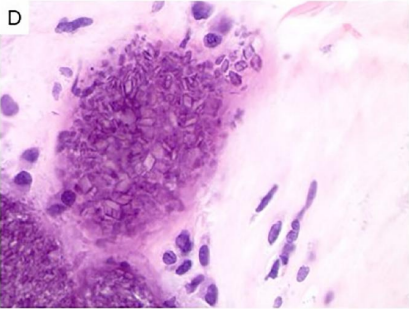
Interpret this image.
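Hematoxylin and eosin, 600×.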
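A dense aggregate of small rhomboid crystals, stained purple with angular straight-edged outlines, lies within pale basophilic material. Around it scattered rounded and oval nuclei sit in a pale bluish-pink matrix, some resembling cartilage-like cells.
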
